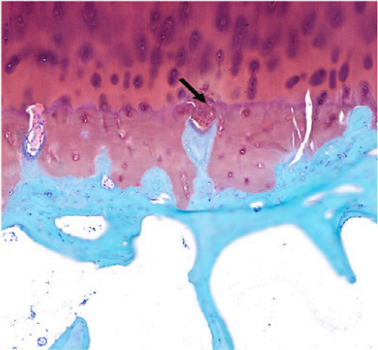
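This is articular cartilage over subchondral bone, stained reddish-purple in the cartilage and blue-green in the bone. Chondrocytes in the upper cartilage are stacked in short vertical rows, with dark nuclei in lacunae. A wavy line crosses the cartilage above a paler reddish band of calcified cartilage that rests on the blue-green bone. From the bone a narrow channel pushes upward into the calcified cartilage, crossing toward the wavy line, consistent with a vessel invading the cartilage. Below, bone trabeculae enclose wide empty marrow spaces.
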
